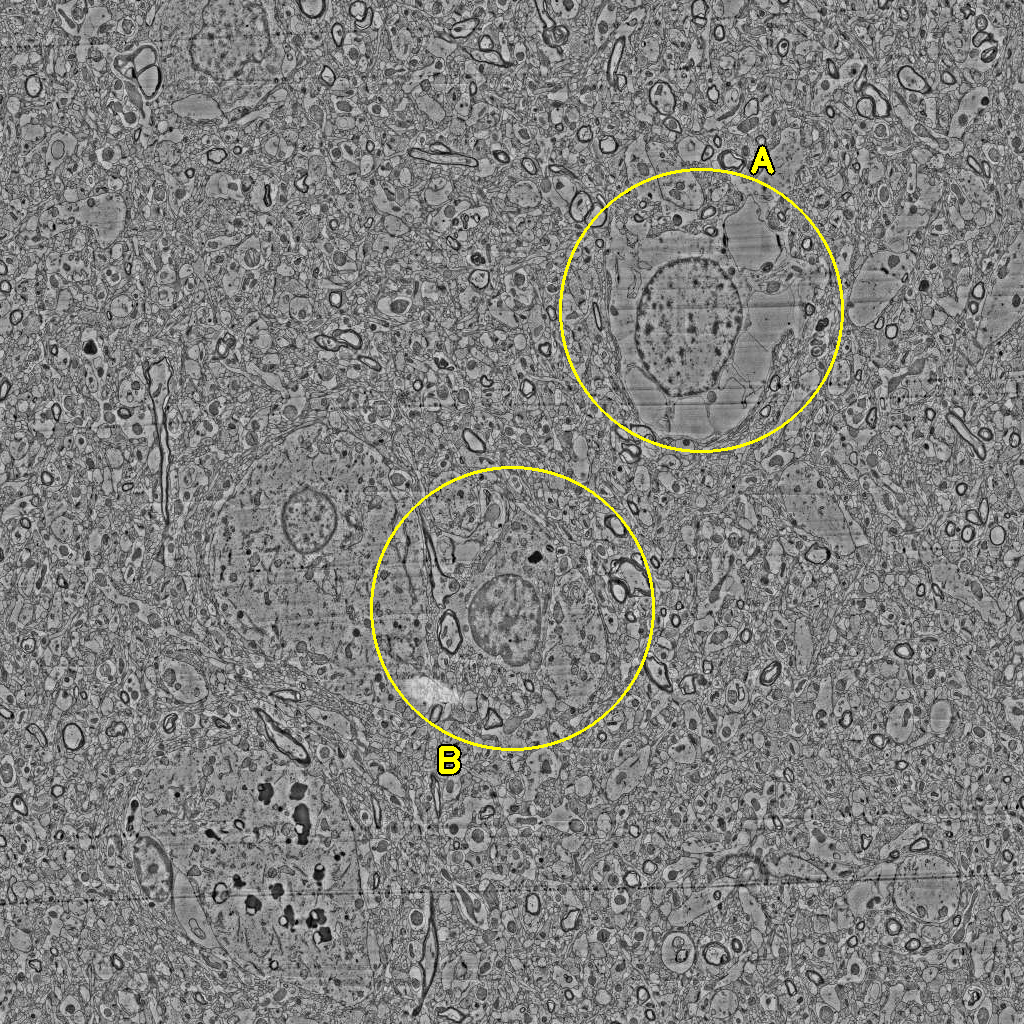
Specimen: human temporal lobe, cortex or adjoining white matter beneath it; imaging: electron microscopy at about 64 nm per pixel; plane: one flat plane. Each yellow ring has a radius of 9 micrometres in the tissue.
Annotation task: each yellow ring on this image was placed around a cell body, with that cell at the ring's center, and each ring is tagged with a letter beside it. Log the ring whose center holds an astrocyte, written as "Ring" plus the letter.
Ring A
